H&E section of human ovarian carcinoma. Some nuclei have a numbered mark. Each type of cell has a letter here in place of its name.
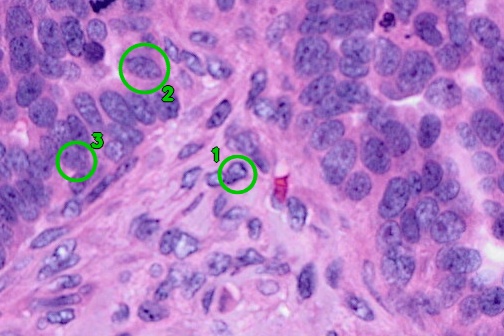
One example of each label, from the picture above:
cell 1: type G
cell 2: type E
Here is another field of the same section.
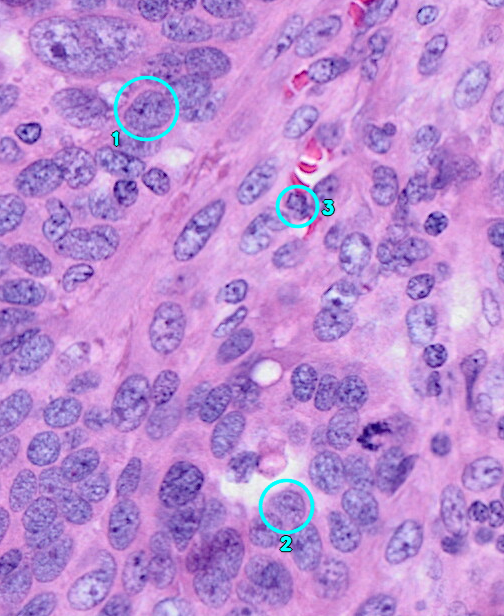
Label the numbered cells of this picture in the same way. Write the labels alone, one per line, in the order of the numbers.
type E
type E
type G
